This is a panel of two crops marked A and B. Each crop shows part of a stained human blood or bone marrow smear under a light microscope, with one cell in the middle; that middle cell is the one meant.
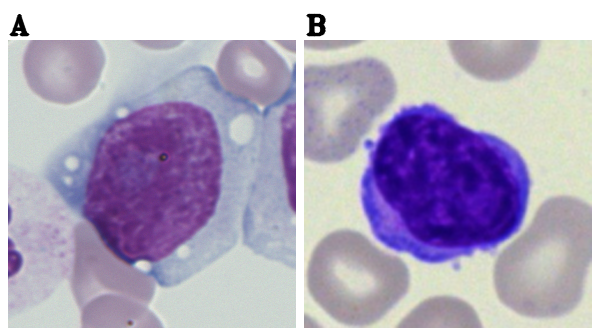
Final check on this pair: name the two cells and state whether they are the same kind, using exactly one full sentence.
Yes, as an answer for this item, both crops show blasts.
